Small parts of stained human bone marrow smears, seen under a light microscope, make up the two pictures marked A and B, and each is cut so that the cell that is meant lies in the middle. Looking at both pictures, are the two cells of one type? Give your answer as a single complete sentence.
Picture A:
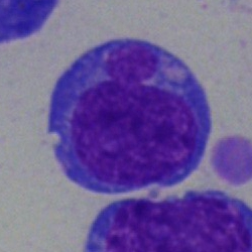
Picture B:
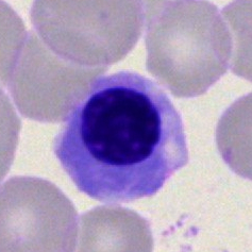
No, they differ: the cell is a blast in picture A and an erythroblast in picture B.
